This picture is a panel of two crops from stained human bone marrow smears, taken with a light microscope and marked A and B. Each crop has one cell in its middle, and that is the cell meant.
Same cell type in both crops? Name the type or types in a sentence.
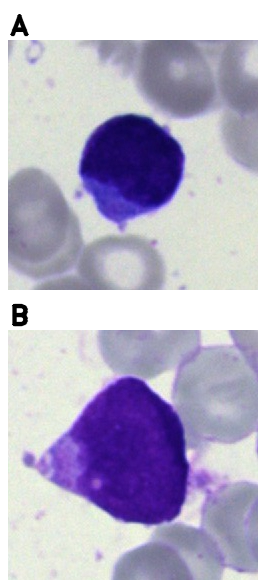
Yes, both crops show blasts, each crop centred on one of them.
